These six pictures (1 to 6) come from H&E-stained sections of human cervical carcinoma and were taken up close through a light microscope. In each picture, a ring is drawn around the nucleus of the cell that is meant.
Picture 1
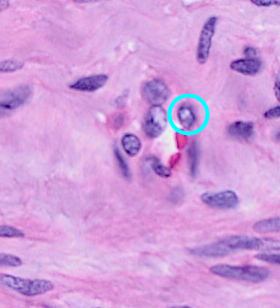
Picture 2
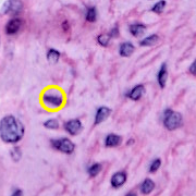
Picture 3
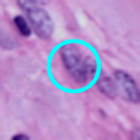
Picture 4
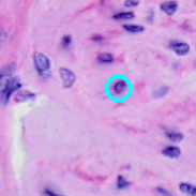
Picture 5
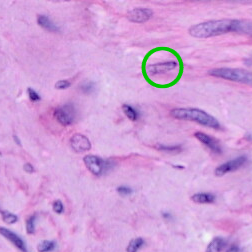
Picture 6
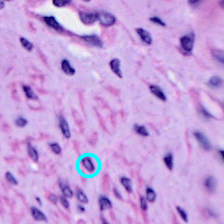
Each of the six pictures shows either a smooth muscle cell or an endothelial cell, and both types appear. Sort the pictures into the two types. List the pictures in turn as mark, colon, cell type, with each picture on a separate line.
1: endothelial cell
2: smooth muscle cell
3: endothelial cell
4: smooth muscle cell
5: smooth muscle cell
6: smooth muscle cell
